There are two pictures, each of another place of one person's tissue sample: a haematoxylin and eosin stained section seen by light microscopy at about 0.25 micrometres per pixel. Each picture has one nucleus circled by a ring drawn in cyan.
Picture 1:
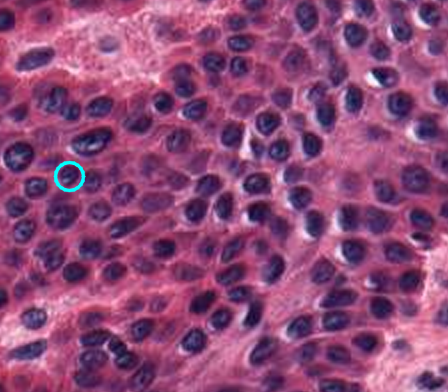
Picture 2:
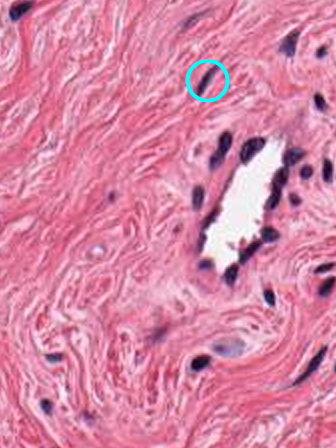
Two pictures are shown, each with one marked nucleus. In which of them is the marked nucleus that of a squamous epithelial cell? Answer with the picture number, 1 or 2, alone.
1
